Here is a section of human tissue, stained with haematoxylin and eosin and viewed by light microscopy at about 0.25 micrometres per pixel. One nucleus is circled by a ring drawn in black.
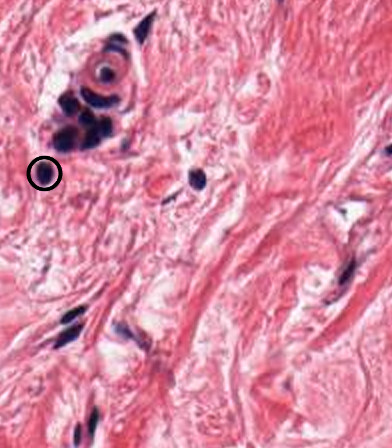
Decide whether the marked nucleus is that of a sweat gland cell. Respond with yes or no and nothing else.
no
